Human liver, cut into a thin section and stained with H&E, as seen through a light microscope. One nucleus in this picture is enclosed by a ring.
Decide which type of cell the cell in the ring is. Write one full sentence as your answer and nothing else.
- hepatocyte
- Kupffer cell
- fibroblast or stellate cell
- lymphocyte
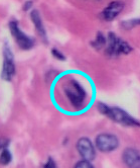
As a matter of cell type, the cell in the ring is a fibroblast or stellate cell.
